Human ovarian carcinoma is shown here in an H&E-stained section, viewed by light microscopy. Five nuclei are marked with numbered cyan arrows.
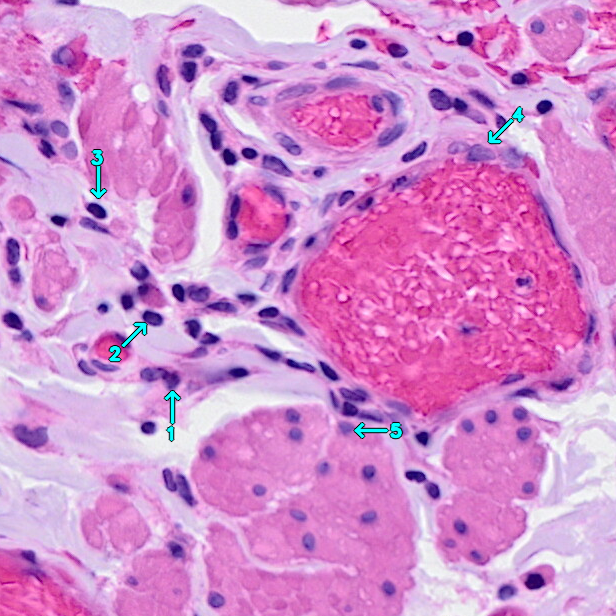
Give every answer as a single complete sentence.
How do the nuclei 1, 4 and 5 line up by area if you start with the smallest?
Smallest first, the nuclei run 5, 1, 4.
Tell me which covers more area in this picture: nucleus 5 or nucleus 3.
Nucleus 3 is the larger one, covering about 2 times the area of nucleus 5.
